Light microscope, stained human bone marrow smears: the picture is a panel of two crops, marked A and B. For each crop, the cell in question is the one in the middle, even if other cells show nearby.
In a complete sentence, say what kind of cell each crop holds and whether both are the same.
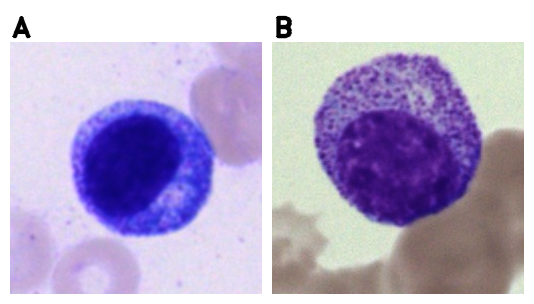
Yes, the cells that the two crops centre on are myelocytes.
